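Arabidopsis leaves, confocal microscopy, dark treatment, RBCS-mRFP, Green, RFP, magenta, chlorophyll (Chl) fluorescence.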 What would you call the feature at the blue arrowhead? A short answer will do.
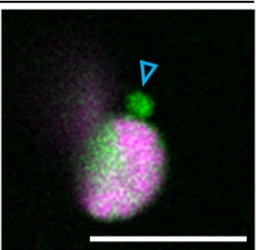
Chloroplast budding structures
